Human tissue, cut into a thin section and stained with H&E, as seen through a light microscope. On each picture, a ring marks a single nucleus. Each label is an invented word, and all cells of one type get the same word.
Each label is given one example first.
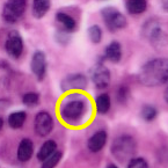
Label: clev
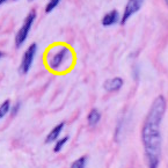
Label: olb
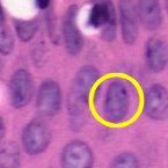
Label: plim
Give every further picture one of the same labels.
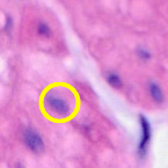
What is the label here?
olb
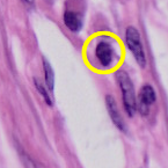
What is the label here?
clev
